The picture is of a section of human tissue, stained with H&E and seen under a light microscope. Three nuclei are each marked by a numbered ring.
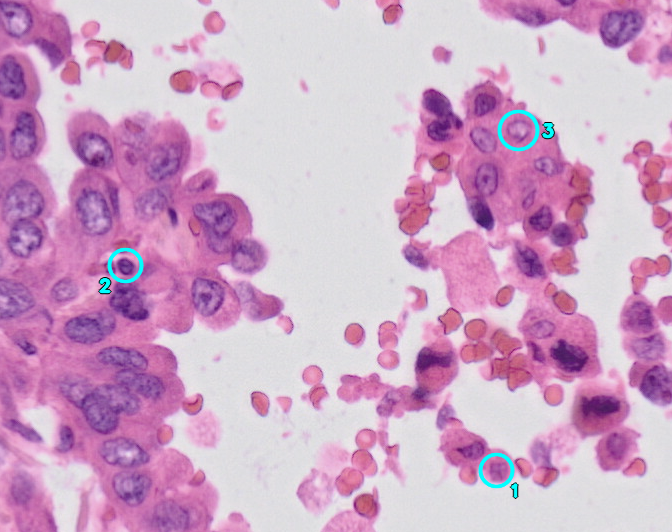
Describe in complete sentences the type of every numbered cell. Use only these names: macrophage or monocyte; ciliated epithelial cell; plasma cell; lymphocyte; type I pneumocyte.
Cells 1 and 3 are macrophages or monocytes. Cell 2 is a lymphocyte.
